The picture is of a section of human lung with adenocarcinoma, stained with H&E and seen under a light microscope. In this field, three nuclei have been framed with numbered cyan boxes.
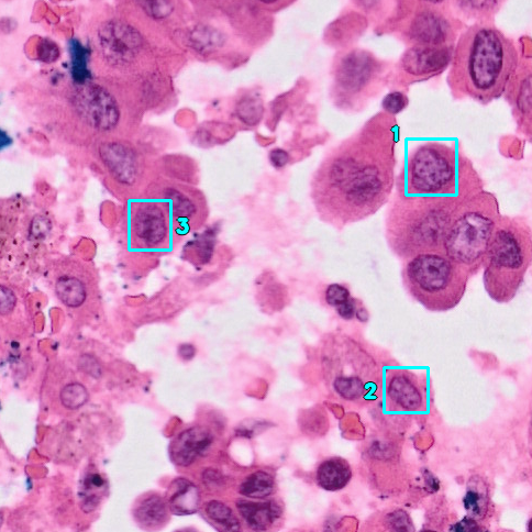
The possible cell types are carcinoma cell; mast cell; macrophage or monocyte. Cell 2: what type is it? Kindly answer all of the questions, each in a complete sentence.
Identified by the number 2, the cell is a macrophage or monocyte.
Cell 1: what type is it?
Cell 1, among those numbered, is a carcinoma cell.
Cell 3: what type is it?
Number 3 among the marked cells is a carcinoma cell.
